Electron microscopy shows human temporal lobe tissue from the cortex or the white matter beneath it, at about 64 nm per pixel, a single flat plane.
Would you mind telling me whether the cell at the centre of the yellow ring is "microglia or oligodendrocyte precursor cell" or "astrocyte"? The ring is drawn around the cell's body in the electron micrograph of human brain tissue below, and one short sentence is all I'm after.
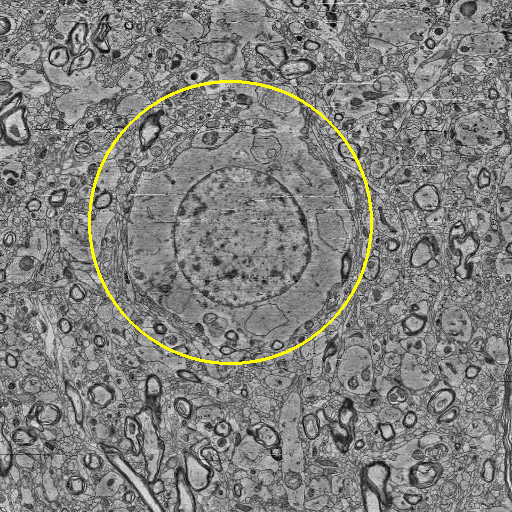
In the centre of the ring lies an astrocyte.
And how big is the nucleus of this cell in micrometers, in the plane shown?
In this plane the ringed cell's nucleus is roughly 9 micrometres across.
